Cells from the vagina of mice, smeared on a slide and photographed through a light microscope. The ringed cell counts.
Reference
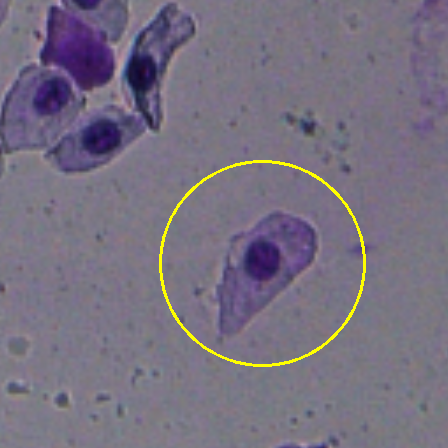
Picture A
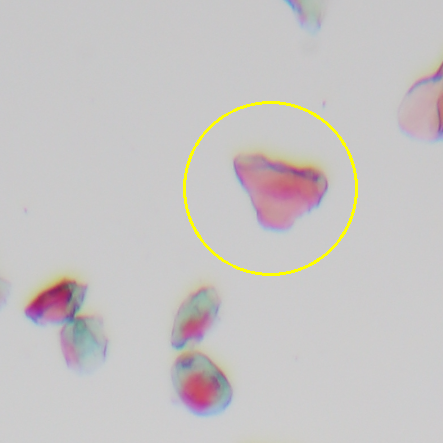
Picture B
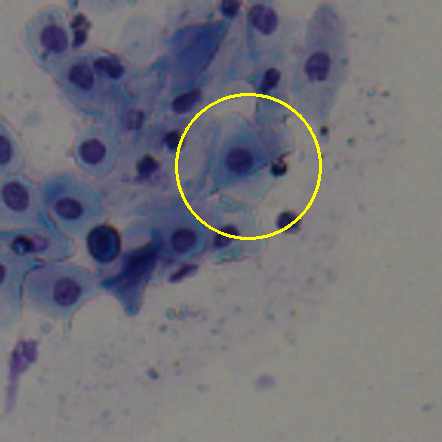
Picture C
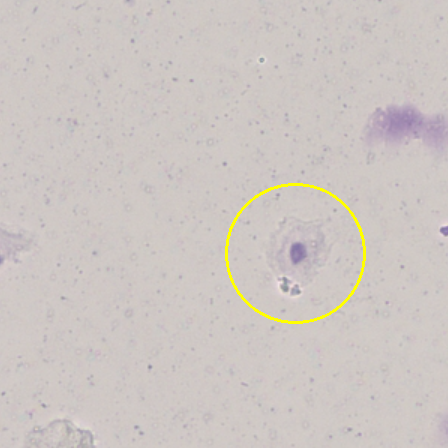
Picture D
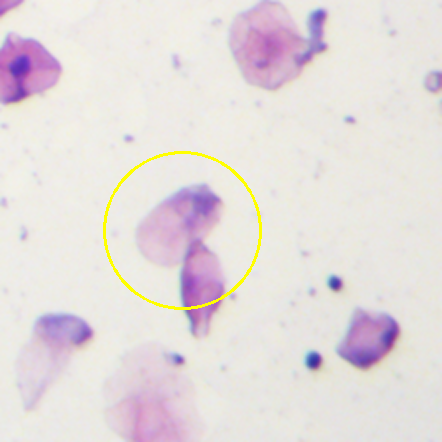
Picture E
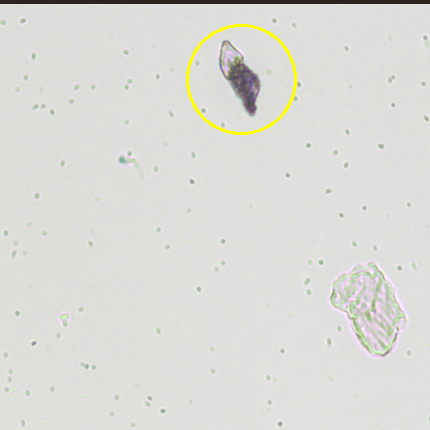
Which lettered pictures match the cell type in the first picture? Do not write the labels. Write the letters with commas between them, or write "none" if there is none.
B, C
